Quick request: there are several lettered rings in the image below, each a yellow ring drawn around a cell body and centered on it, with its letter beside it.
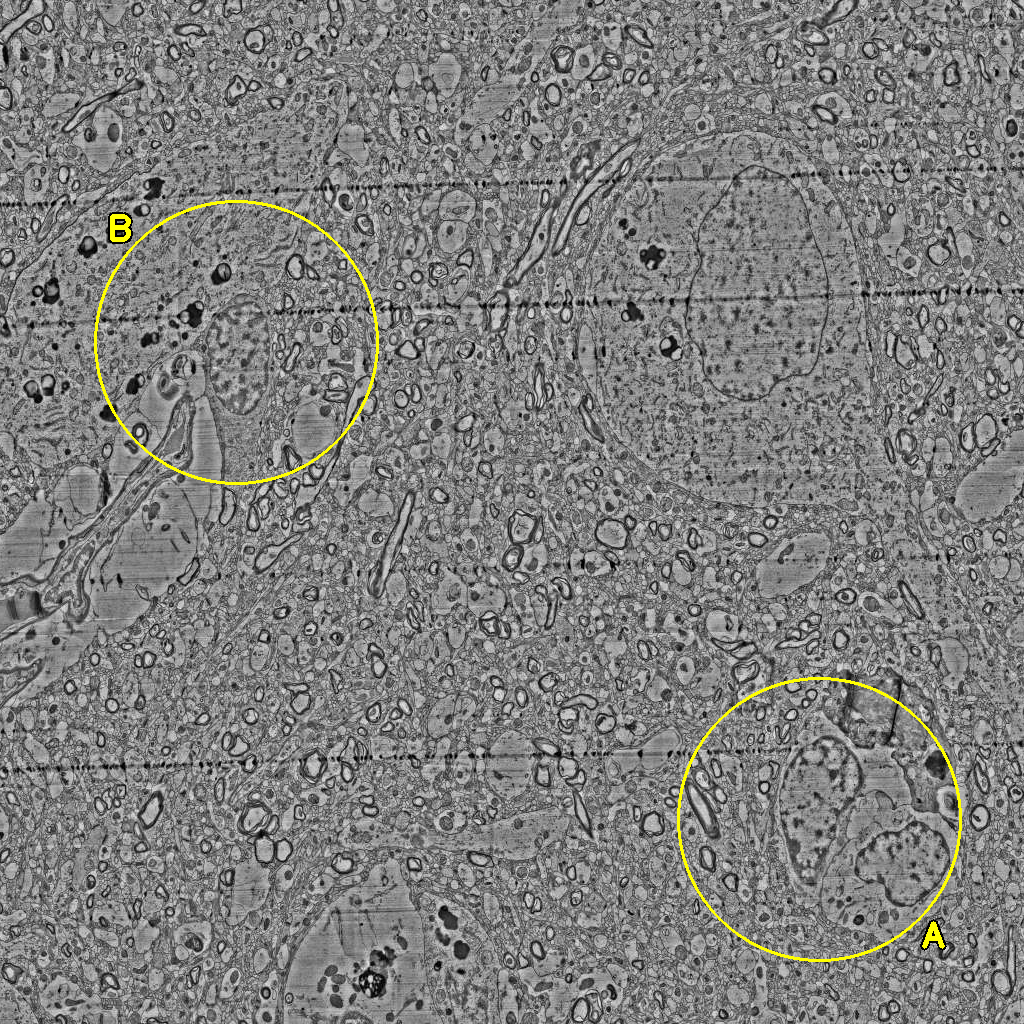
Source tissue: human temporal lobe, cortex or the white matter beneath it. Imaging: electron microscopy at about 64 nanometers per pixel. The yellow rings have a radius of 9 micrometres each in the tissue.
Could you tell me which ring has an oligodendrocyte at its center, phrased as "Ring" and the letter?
Ring B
